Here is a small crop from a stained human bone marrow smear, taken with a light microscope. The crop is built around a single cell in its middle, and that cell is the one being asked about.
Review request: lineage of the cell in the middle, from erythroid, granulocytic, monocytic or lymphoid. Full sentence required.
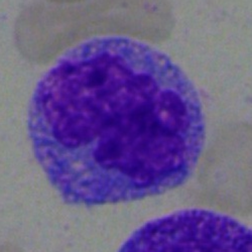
The centered cell should be recorded as belonging to the monocytic lineage.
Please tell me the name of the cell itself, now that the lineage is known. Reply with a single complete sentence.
Where the crop is centred, there is a monocyte.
